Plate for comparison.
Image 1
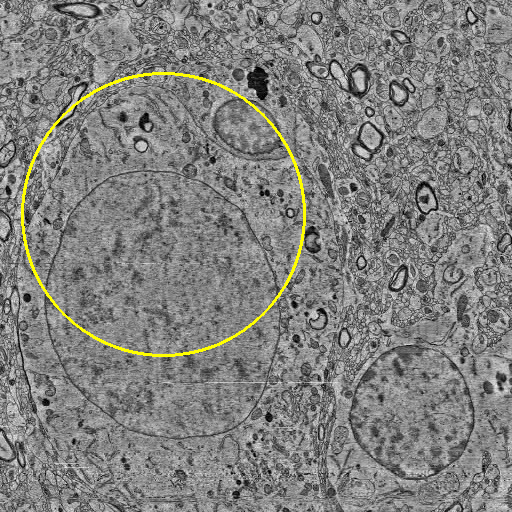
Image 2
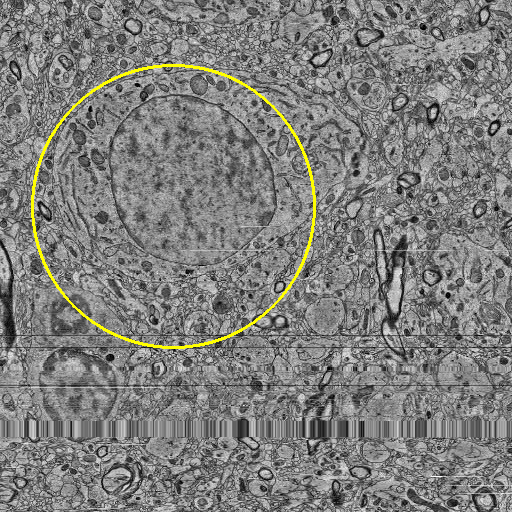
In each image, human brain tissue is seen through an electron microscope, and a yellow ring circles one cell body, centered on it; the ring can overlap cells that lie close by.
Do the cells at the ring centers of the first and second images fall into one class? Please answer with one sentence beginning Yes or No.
No, the first and second images show two classes of cell at the ring centers.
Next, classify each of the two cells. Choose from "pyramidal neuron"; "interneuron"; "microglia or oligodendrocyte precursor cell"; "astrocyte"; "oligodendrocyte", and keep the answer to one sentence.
In the first picture it is a pyramidal neuron; in the second it is an interneuron.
